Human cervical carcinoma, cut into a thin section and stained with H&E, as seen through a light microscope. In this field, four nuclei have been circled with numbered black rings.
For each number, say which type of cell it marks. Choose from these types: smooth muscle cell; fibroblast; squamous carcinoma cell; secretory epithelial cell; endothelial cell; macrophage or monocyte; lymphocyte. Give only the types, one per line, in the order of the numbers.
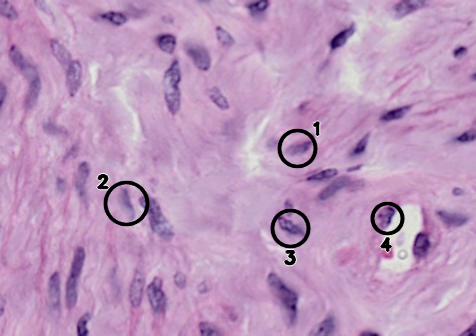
smooth muscle cell
fibroblast
fibroblast
endothelial cell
